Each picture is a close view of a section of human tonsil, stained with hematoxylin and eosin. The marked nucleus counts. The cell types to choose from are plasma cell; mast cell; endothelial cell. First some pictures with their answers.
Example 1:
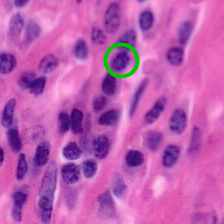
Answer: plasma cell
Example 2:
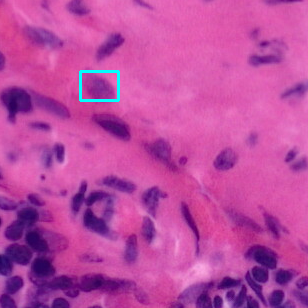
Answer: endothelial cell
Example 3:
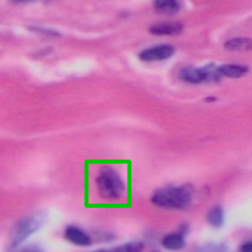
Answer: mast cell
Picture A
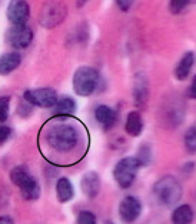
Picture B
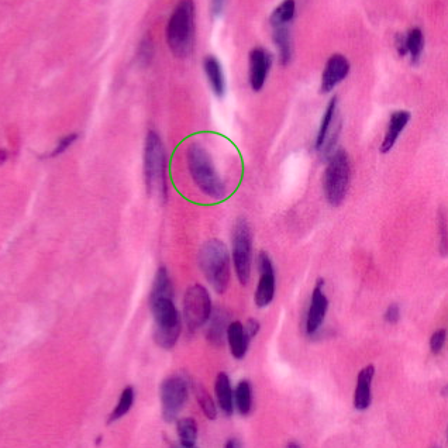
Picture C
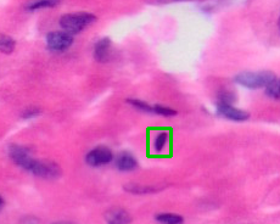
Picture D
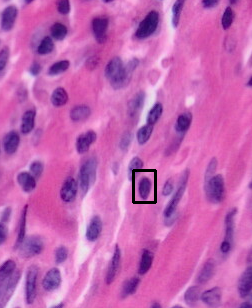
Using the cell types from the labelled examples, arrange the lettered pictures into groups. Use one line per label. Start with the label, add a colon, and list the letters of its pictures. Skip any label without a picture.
plasma cell: A
mast cell: C, D
endothelial cell: B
